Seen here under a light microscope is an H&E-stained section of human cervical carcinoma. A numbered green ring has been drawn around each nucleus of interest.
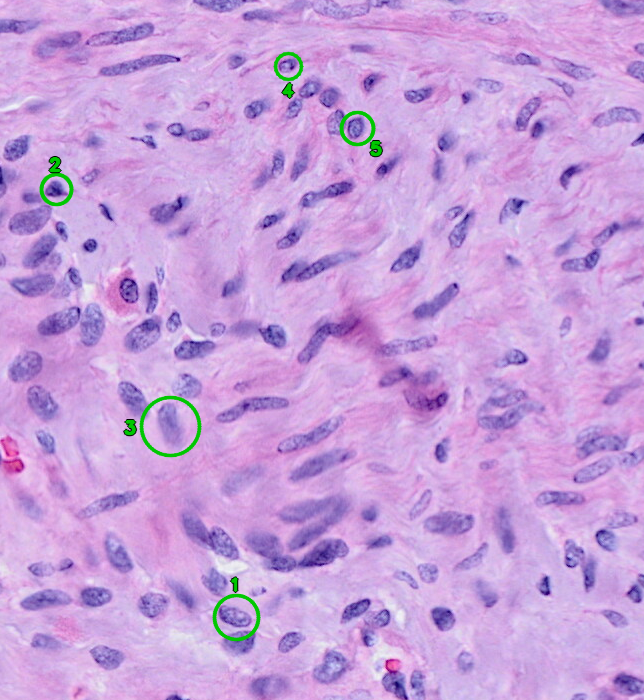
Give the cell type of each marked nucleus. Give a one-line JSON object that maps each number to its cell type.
{"1": "fibroblast", "2": "fibroblast", "3": "fibroblast", "4": "smooth muscle cell", "5": "smooth muscle cell"}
